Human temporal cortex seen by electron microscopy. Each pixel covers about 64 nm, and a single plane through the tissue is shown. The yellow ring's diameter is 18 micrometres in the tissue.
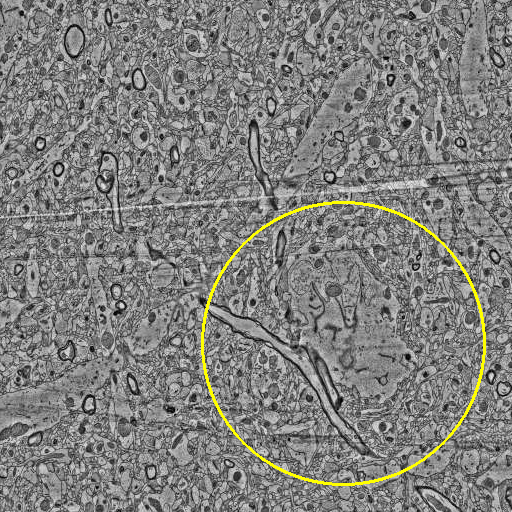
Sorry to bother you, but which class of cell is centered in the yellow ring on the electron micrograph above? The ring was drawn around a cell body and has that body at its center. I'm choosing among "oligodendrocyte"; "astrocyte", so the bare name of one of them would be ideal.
astrocyte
